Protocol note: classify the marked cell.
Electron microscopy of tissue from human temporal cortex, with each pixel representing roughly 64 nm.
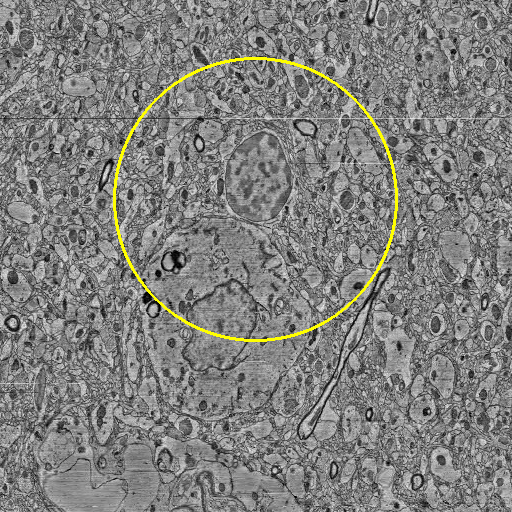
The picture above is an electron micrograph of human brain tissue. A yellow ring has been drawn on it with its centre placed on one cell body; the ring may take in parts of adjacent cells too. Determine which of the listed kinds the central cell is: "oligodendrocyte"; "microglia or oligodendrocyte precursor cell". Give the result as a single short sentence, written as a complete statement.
The central cell is a microglial cell or oligodendrocyte precursor cell.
